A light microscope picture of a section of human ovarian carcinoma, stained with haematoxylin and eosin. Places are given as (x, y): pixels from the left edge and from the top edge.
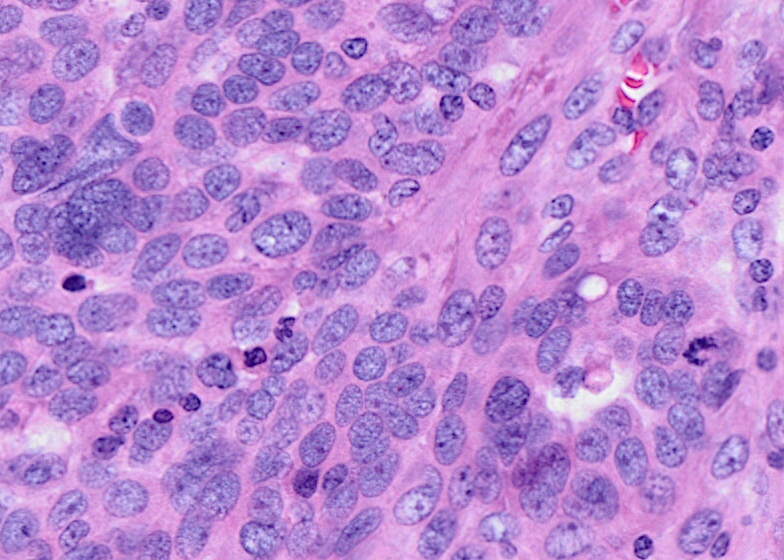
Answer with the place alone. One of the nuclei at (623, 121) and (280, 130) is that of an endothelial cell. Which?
(623, 121)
